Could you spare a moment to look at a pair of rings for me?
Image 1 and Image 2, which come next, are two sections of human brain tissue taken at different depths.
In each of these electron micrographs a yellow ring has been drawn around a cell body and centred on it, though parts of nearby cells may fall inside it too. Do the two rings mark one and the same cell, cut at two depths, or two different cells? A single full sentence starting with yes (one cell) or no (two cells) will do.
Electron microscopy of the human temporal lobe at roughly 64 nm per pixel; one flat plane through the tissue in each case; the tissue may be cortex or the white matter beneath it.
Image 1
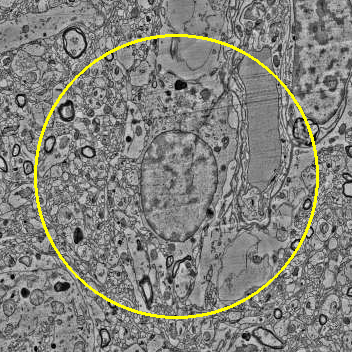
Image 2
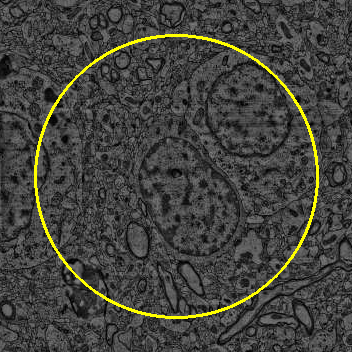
No, two cells, not one, are marked by the yellow rings.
